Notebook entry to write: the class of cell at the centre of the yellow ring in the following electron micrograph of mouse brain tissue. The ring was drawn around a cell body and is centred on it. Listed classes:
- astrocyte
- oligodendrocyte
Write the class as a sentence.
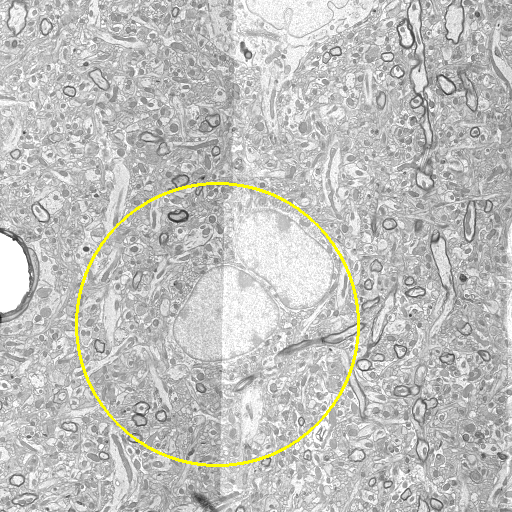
The yellow ring sits on an astrocyte.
